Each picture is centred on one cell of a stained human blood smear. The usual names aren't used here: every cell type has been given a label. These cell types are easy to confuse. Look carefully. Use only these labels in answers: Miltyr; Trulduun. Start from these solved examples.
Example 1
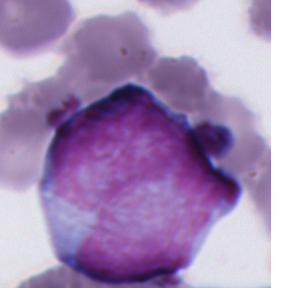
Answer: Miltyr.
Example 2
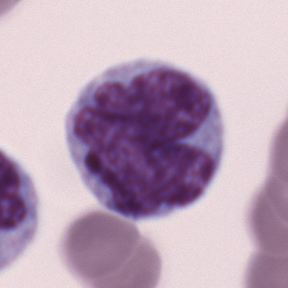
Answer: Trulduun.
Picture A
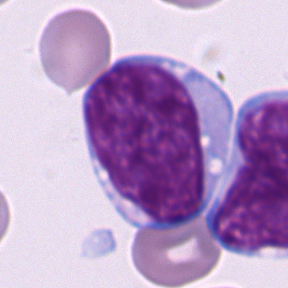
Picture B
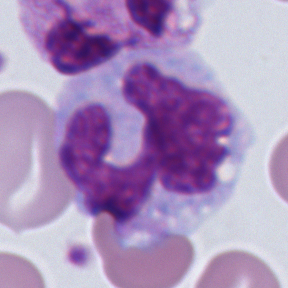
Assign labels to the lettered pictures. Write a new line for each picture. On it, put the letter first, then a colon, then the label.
A: Miltyr.
B: Trulduun.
